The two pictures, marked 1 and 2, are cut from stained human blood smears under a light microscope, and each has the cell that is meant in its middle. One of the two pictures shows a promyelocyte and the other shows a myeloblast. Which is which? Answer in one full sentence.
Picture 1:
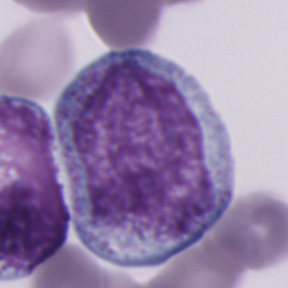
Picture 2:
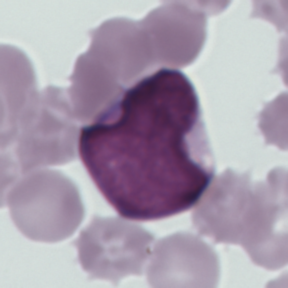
Picture 1 is of a promyelocyte, and picture 2 is of a myeloblast.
